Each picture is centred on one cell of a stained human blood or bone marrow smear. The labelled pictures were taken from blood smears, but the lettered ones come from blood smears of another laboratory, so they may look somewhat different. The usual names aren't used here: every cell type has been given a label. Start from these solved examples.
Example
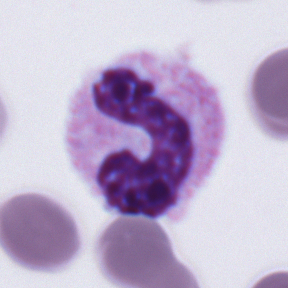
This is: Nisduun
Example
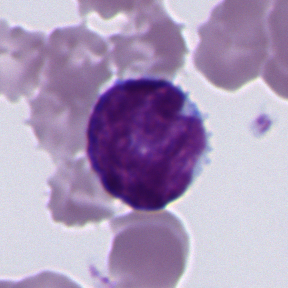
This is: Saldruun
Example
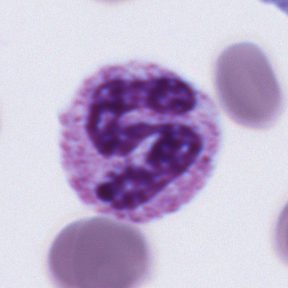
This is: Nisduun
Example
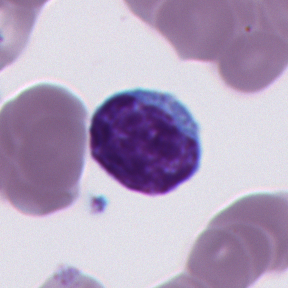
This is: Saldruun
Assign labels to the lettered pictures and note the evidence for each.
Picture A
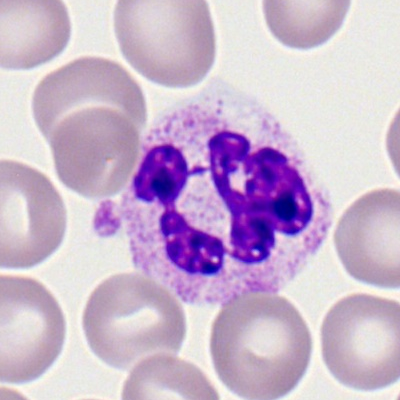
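Answer: Nisduun. The cytoplasm is plentiful and pale pinkish-lilac.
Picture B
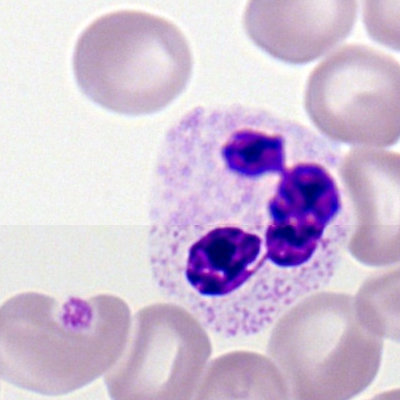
Answer: Nisduun. The nucleus is divided into three lobes.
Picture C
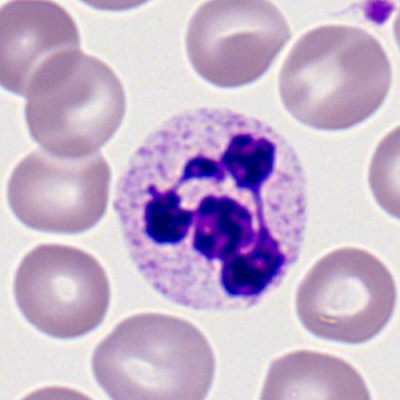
Answer: Nisduun. The cytoplasm is plentiful and pale pinkish-lilac.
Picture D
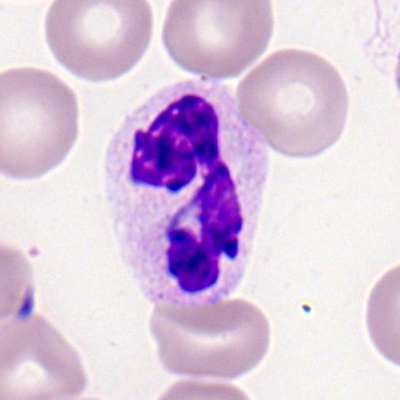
Answer: Nisduun. The cytoplasm is plentiful and pale pinkish-lilac.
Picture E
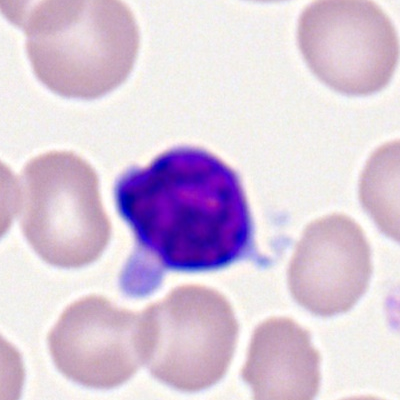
Answer: Saldruun. The nucleus fills almost the whole cell, leaving only a very thin rim of cytoplasm.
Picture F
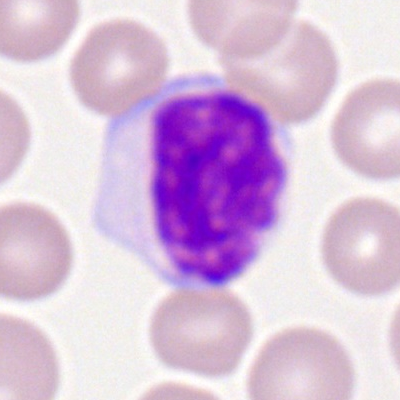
Answer: Saldruun. The nucleus is a single unlobed mass.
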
